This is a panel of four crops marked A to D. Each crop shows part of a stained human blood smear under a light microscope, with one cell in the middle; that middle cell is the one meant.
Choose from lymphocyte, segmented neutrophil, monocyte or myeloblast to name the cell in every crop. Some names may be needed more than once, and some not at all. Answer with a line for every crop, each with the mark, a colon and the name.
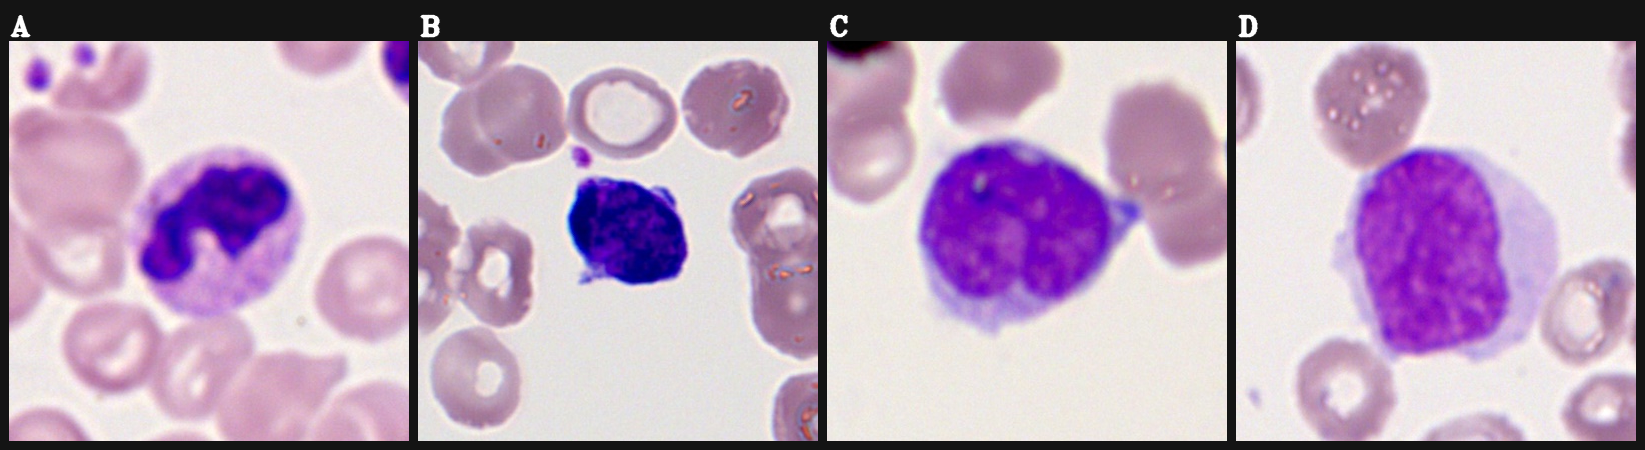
A: segmented neutrophil
B: lymphocyte
C: monocyte
D: monocyte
